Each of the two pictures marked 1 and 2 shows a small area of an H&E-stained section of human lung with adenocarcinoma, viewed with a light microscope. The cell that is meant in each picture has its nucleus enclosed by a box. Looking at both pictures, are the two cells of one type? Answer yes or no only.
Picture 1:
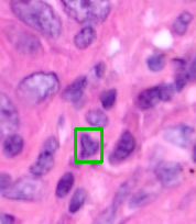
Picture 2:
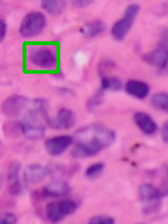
yes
